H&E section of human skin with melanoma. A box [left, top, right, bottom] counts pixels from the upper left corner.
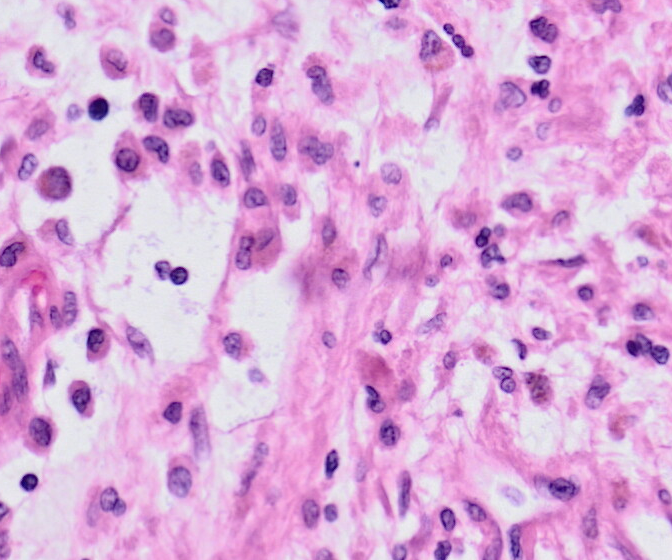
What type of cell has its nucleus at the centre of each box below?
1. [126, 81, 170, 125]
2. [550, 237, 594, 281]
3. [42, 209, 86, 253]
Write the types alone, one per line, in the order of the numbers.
macrophage or monocyte
fibroblast or myofibroblast
macrophage or monocyte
